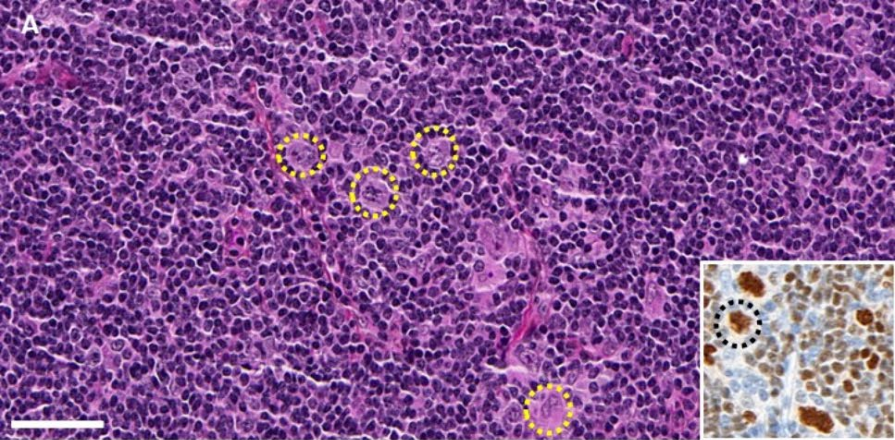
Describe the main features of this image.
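Lymphoma tissue in which a dense sheet of small lymphocytes with round dark nuclei surrounds scattered large popcorn cells. The popcorn cells have pale, folded or lobulated nuclei and a rim of pale cytoplasm, and stand out singly among the small cells. Thin pink strands of stroma and vessels cross the field.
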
